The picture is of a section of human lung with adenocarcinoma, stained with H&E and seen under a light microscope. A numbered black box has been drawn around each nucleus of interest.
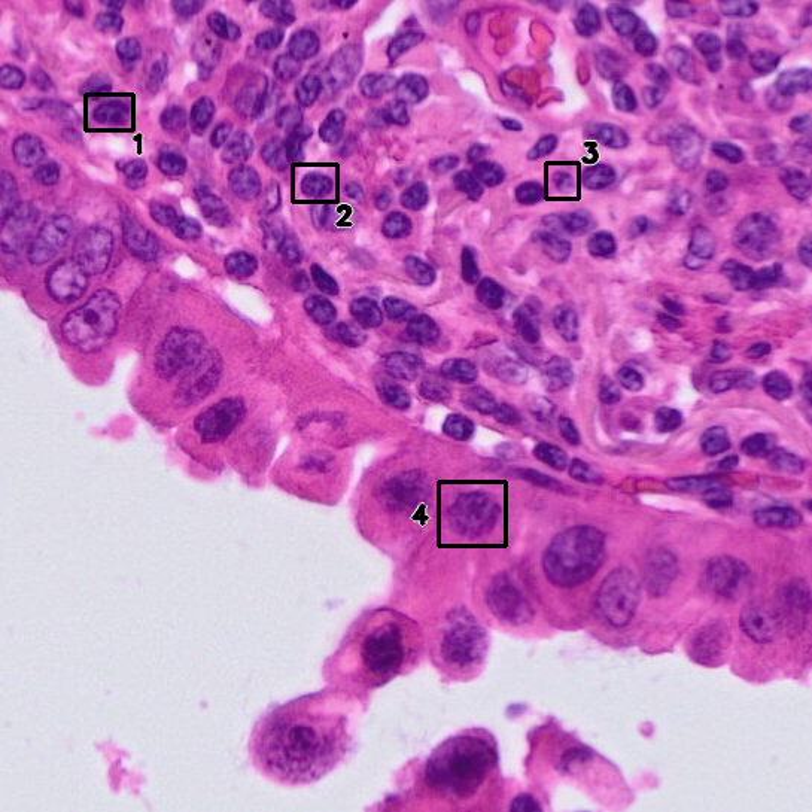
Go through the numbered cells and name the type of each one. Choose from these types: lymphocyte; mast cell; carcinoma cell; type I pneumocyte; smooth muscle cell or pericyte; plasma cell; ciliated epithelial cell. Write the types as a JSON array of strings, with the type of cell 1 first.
["plasma cell", "lymphocyte", "lymphocyte", "carcinoma cell"]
